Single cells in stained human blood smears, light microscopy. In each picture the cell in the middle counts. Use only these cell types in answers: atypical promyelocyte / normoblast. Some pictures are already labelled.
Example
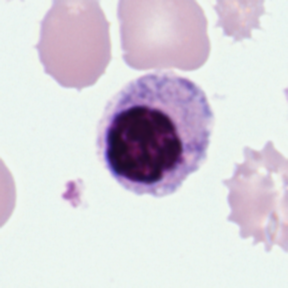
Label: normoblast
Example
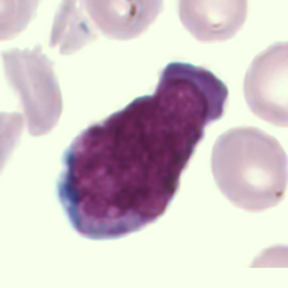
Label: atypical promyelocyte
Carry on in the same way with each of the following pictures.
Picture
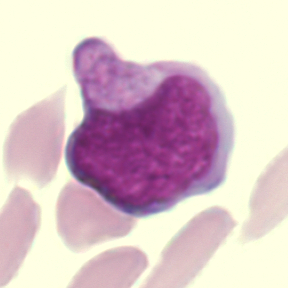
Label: atypical promyelocyte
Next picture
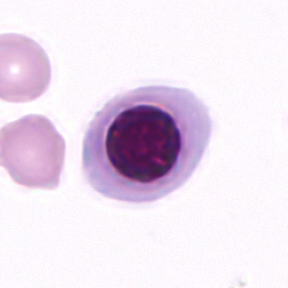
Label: normoblast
